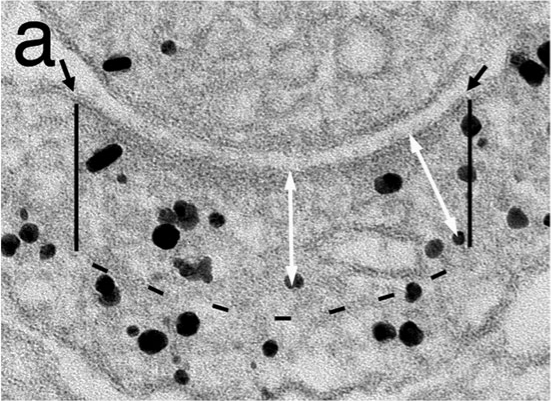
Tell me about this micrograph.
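This electron micrograph shows a synapse in section, with the postsynaptic membrane running as a curved line across the upper half of the field. Above the membrane lies a compartment containing rounded, pale membrane-bound profiles. Below it lies postsynaptic cytoplasm with a thin band of darker material pressed against the membrane. Dense black round particles of several sizes are scattered through this cytoplasm, many lying some distance below the membrane. A few particles sit close to the membrane near its ends.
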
